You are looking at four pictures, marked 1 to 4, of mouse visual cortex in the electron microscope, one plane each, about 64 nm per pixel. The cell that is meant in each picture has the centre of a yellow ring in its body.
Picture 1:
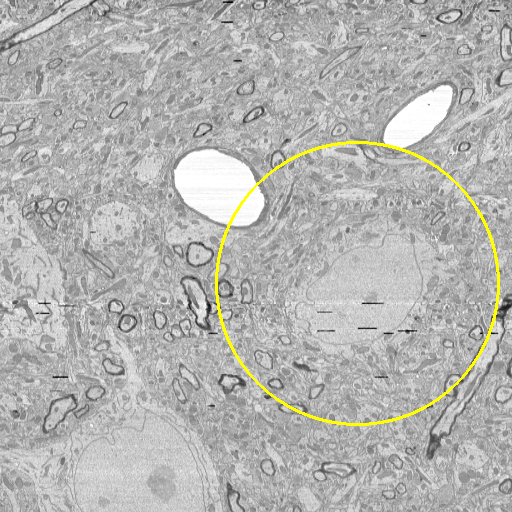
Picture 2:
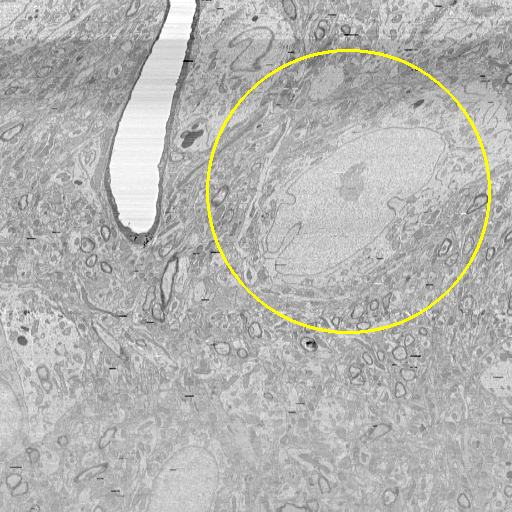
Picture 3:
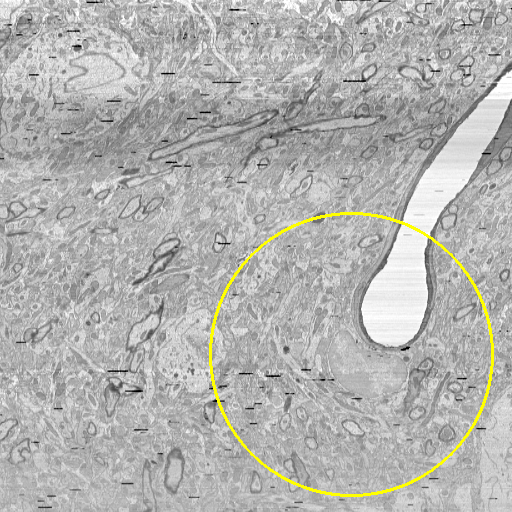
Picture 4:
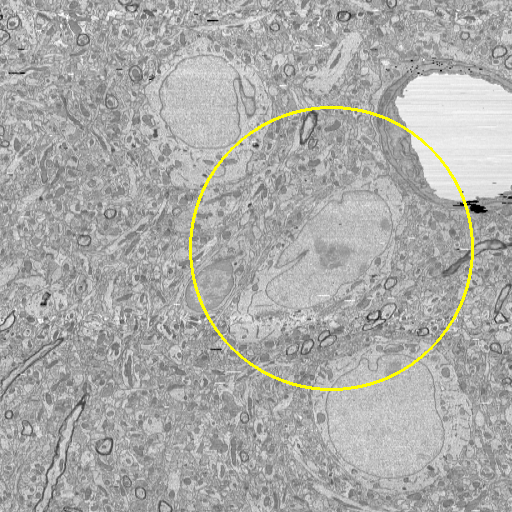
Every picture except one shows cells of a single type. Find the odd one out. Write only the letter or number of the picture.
3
